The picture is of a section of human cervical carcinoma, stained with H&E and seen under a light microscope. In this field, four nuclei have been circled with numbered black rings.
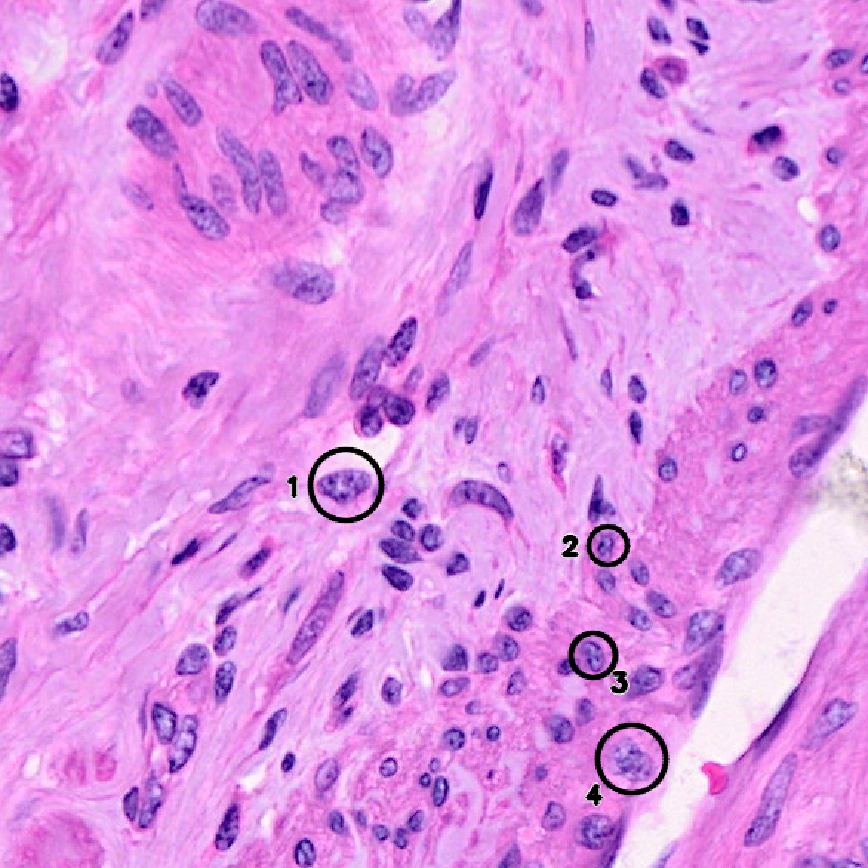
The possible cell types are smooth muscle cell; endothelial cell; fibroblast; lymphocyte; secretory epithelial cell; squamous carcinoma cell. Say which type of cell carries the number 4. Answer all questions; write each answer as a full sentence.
The cell bearing label 4 corresponds to a smooth muscle cell.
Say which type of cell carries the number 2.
Number 2 is placed on a smooth muscle cell here.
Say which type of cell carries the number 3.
The numbered cell 3 is identified here as a smooth muscle cell.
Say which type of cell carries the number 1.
The cell assigned the number 1 is an endothelial cell.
